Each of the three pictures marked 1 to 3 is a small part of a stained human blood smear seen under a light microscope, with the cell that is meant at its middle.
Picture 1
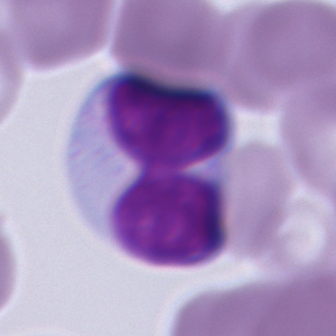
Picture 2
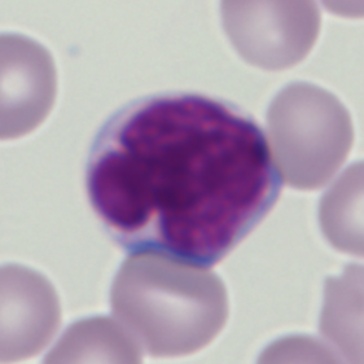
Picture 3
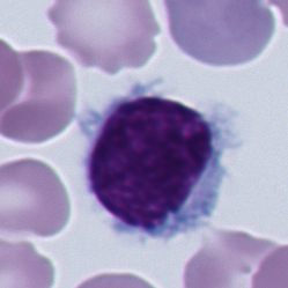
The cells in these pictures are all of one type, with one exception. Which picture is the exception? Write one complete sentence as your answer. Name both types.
The others show large granular lymphocytes, but picture 3 shows a hairy cell.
